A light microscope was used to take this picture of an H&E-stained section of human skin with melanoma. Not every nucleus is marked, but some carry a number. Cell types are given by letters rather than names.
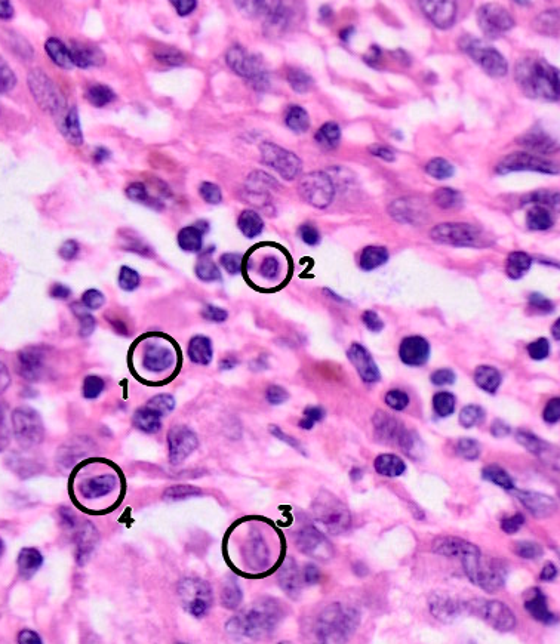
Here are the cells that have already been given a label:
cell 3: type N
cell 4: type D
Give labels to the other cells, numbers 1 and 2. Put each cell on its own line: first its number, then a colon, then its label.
1: type D
2: type D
